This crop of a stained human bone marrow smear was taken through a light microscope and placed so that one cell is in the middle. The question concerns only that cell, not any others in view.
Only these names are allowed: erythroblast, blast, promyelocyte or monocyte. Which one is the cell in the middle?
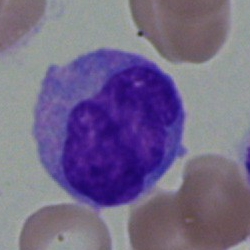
monocyte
